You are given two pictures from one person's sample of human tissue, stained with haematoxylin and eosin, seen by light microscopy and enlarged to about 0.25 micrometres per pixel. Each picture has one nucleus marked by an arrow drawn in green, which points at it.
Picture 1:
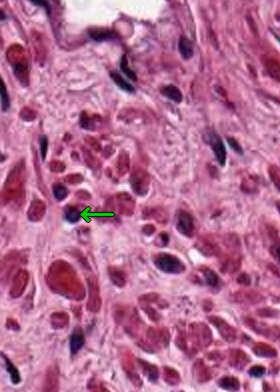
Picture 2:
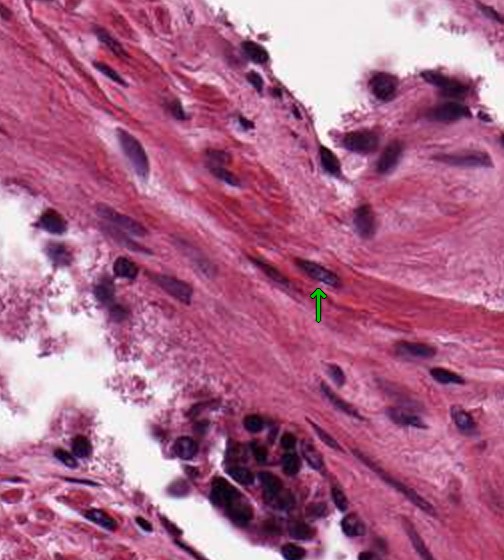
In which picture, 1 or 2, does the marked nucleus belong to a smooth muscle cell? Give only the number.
2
